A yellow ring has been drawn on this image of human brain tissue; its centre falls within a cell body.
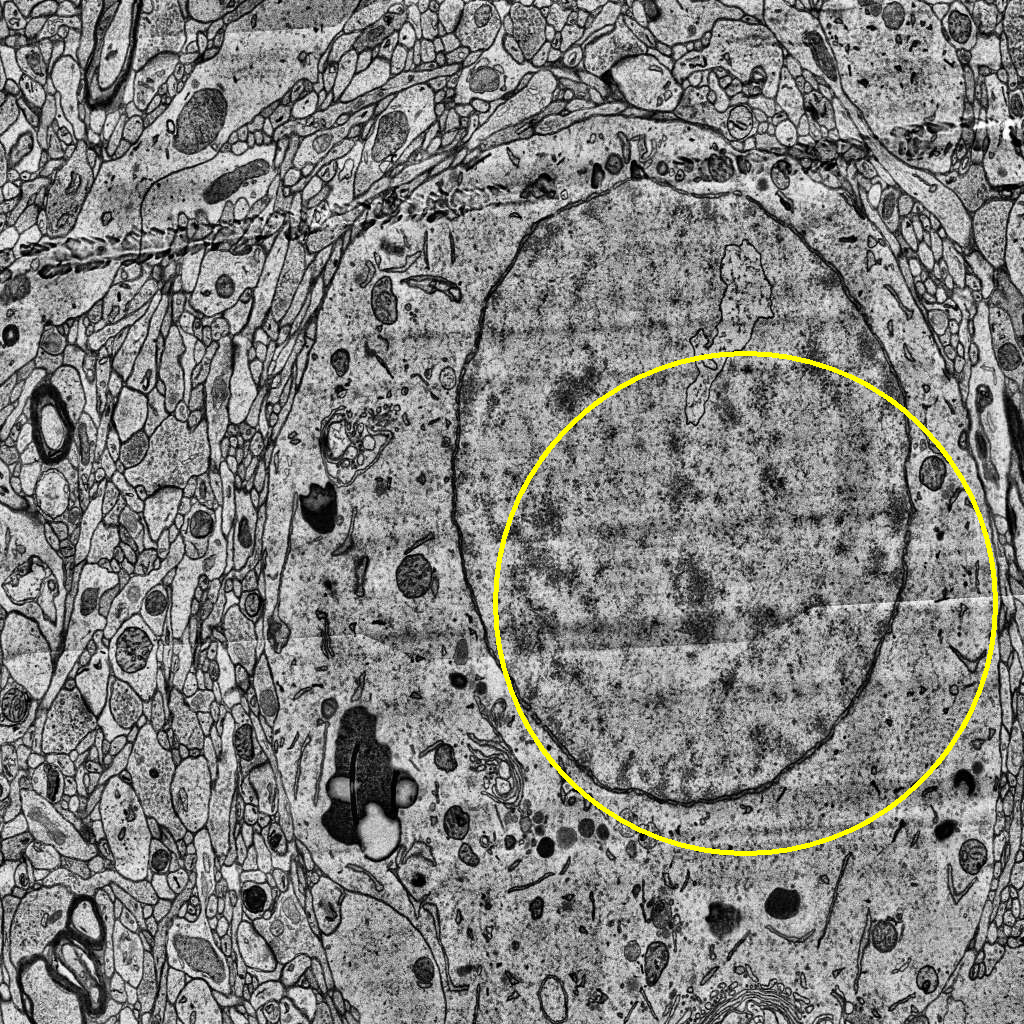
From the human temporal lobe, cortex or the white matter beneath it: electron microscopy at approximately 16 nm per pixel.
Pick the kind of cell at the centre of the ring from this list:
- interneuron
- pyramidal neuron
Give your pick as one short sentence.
The centre of the ring holds a pyramidal neuron.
